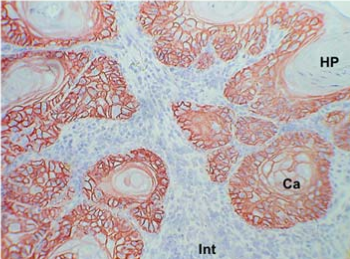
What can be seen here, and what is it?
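Nests of squamous carcinoma cells lie scattered in an interstitium of loose connective tissue with many small blue nuclei. The tumour cells in each nest are outlined by reddish brown membranes, forming a honeycomb-like pattern around their blue nuclei. Several nests contain central concentric whorls of keratinised tumour cells, forming horn pearls with layered, flattened cells and pale to pinkish material. The interstitium around the nests is unstained apart from the blue nuclei, so the nests stand out sharply against it.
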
